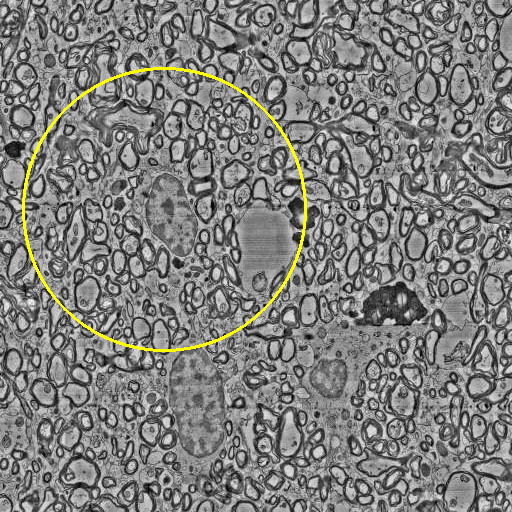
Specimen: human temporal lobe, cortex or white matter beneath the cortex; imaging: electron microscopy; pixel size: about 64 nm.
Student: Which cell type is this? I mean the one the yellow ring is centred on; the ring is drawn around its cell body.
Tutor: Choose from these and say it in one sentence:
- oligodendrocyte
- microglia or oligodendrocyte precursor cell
The cell the ring is centred on is a microglial cell or oligodendrocyte precursor cell.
